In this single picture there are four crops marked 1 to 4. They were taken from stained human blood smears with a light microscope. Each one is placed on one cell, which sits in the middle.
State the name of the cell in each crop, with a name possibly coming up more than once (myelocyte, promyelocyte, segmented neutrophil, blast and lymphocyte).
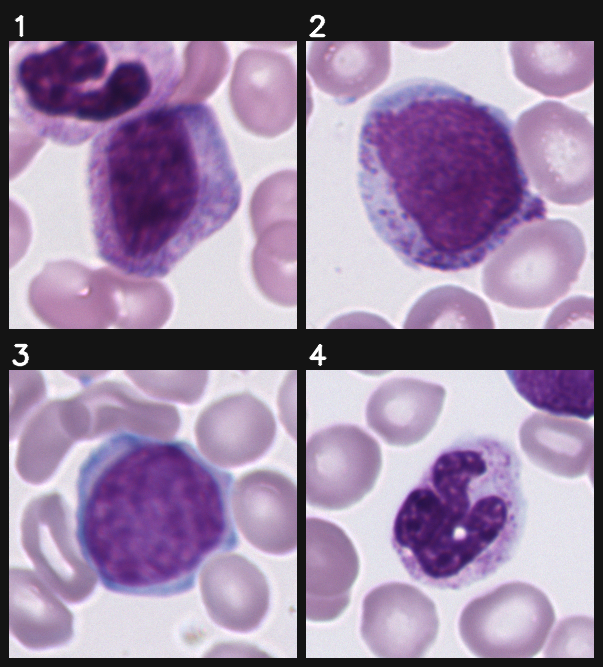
1: myelocyte
2: promyelocyte
3: blast
4: segmented neutrophil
